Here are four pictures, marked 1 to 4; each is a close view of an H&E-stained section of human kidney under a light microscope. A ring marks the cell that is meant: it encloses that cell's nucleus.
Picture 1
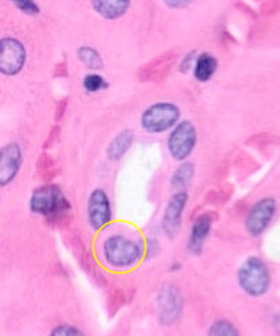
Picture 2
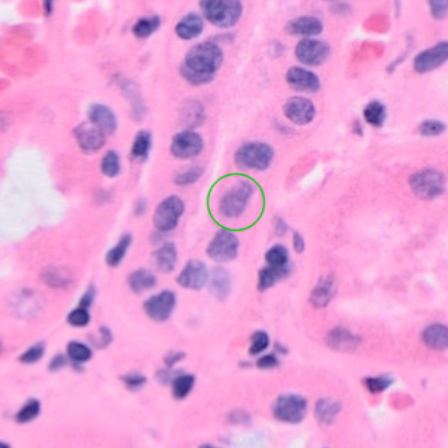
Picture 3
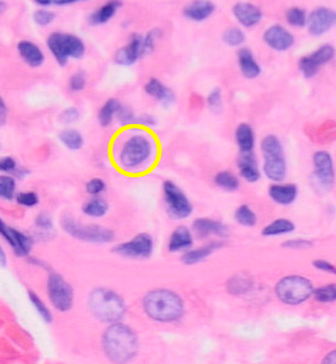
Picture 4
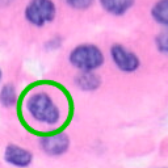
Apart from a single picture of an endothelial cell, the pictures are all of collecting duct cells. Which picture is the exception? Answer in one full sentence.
It is picture 3 that shows the endothelial cell.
